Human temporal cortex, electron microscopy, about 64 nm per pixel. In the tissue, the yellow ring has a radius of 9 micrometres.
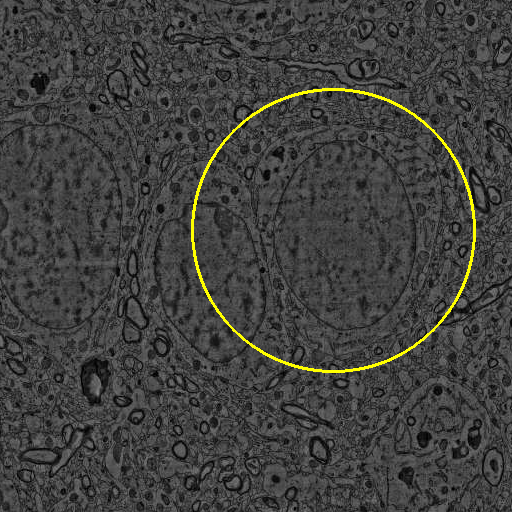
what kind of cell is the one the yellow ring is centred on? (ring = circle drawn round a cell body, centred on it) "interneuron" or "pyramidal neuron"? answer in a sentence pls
The ring is drawn around a pyramidal neuron.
